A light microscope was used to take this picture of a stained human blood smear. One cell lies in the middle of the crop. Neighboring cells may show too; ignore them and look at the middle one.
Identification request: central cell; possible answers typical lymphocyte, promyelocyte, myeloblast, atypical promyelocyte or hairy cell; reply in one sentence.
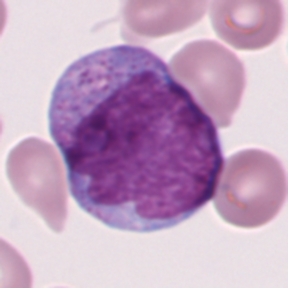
Where the crop is centred, there is an atypical promyelocyte.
